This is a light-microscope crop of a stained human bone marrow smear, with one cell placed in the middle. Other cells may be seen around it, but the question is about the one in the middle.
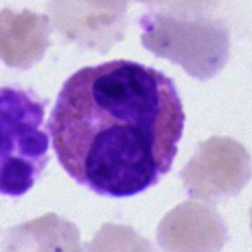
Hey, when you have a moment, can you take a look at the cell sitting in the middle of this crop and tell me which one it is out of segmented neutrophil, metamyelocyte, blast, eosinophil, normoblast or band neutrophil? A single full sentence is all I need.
The central cell, amid any neighbouring cells, is an eosinophil.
